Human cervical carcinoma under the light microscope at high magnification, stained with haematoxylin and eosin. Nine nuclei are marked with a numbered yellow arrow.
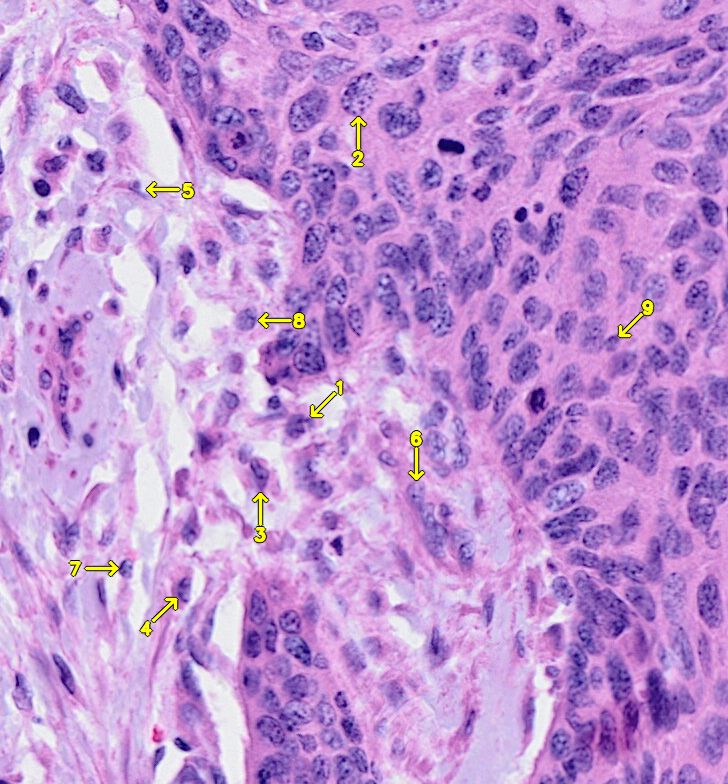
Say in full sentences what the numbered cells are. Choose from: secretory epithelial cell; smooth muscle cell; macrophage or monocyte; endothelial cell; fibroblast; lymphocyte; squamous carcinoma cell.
Cell 1 is a macrophage or monocyte, cell 2 is a squamous carcinoma cell, cell 3 is a macrophage or monocyte, cell 4 is a macrophage or monocyte, cell 5 is a fibroblast, cell 6 is an endothelial cell, cell 7 is a lymphocyte, cell 8 is a macrophage or monocyte and cell 9 is a squamous carcinoma cell.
